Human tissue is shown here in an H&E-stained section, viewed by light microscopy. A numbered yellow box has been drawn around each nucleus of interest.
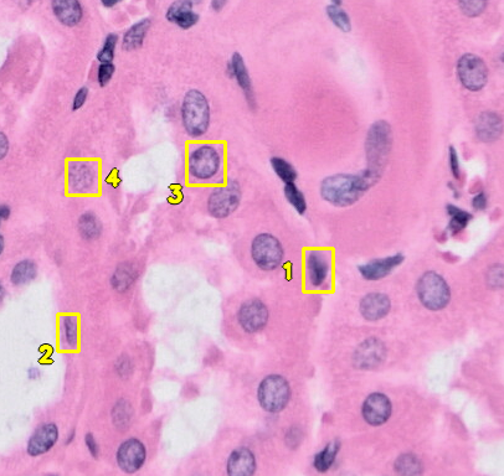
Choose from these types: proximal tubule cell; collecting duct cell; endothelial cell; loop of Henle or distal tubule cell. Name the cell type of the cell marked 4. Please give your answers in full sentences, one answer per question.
The one labeled 4 is a proximal tubule cell, to put it simply.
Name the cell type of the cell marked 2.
In the marked set, the cell given number 2 is a loop of Henle or distal tubule cell.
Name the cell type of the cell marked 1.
Cell 1, as marked in the section, is an endothelial cell.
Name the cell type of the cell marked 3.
Identified by the number 3, the cell is a proximal tubule cell.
